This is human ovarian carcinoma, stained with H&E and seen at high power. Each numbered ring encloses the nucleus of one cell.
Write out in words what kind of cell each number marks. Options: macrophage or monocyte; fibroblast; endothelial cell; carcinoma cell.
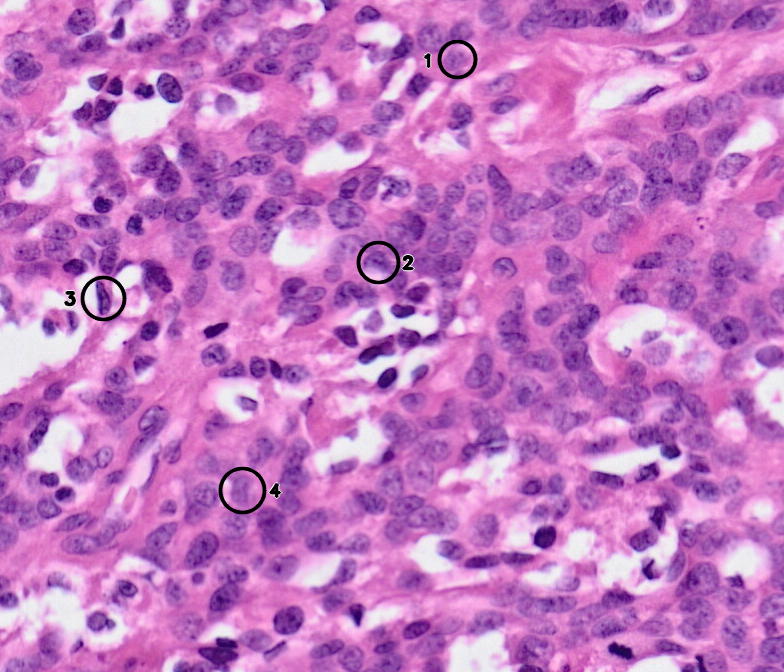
Cells 1, 2 and 4 are carcinoma cells. Cell 3 is a macrophage or monocyte.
